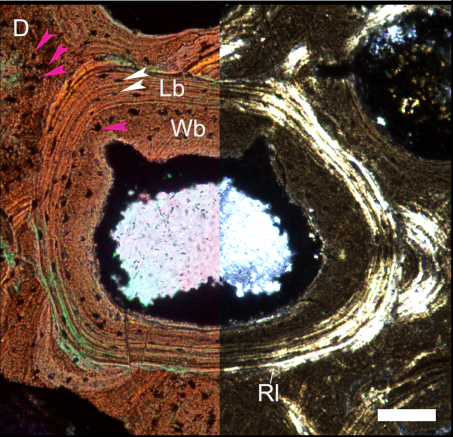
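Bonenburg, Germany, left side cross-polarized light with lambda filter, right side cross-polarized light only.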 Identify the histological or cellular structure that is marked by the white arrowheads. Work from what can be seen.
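The white arrowheads lie within the concentric banded layers. The small dark spots there are elongated along the layers. That points to this answer: flattened osteocyte lacunae.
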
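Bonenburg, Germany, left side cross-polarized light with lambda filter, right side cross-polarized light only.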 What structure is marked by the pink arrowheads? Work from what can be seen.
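The pink arrowheads point at small dark spots in the bone matrix. The spots are rounded or irregular rather than flat.
Hence: plump or irregularly shaped osteocyte lacunae.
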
